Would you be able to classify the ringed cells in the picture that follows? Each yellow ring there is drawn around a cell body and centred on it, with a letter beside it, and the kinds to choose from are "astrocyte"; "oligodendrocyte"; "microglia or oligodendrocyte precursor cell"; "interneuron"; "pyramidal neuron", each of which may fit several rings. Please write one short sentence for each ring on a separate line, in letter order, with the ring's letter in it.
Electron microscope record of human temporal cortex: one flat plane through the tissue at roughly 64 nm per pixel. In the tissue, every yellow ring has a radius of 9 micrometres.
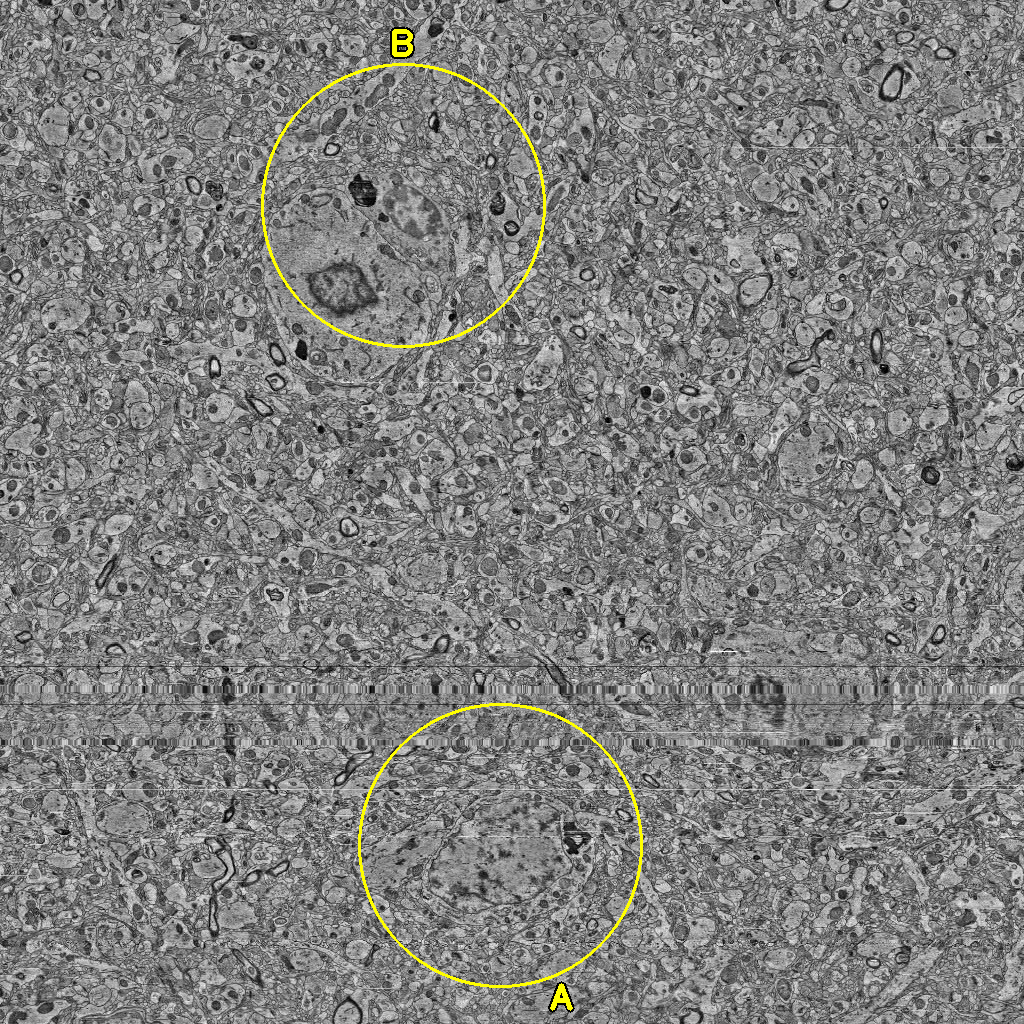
The cell body at the centre of ring A belongs to an interneuron.
The cell body at the centre of ring B belongs to an oligodendrocyte.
